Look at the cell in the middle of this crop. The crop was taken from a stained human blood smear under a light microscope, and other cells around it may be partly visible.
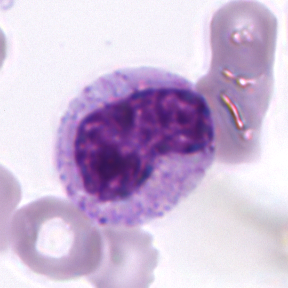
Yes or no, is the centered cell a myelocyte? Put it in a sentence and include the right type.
No, the central cell qualifies as a metamyelocyte rather than as a myelocyte.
